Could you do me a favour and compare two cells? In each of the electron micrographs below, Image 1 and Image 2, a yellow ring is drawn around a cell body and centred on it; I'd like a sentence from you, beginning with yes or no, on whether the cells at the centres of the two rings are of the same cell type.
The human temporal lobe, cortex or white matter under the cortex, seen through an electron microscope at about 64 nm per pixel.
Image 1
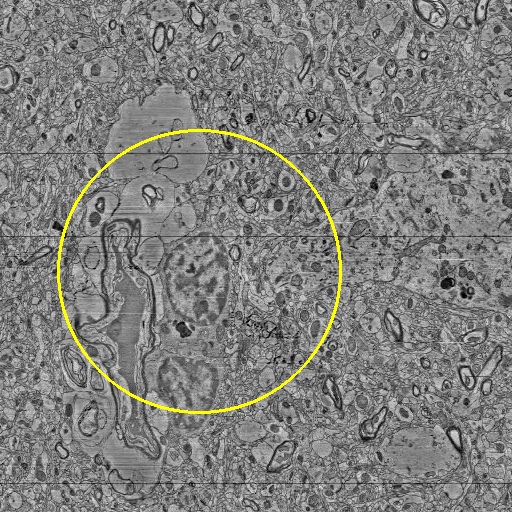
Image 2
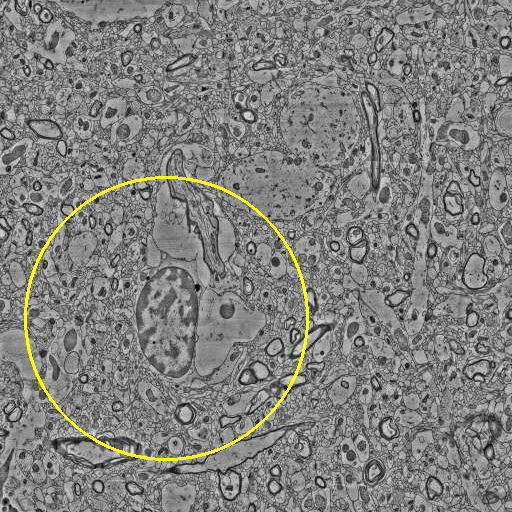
No, the two cells are of two cell types.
